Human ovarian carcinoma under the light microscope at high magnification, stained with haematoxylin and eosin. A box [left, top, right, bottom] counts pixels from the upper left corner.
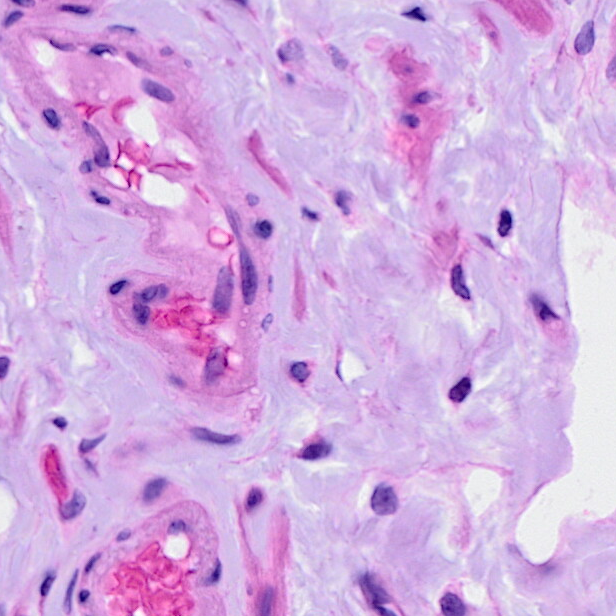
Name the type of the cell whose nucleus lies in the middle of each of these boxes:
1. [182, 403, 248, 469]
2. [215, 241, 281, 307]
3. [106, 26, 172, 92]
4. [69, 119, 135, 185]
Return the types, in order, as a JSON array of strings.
["fibroblast", "endothelial cell", "endothelial cell", "endothelial cell"]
